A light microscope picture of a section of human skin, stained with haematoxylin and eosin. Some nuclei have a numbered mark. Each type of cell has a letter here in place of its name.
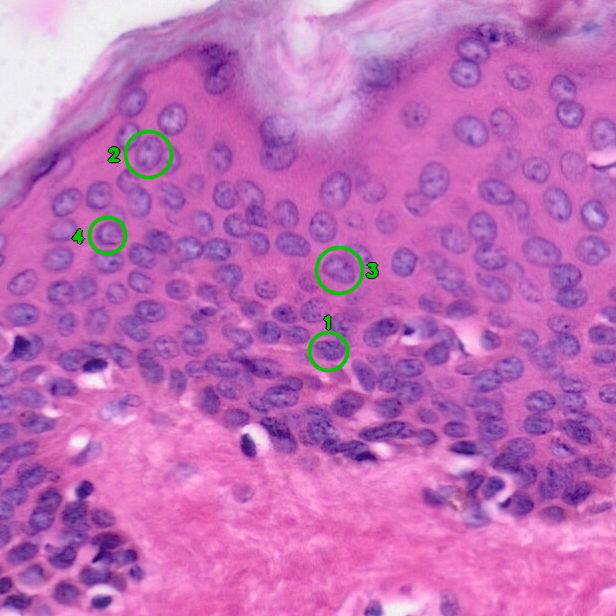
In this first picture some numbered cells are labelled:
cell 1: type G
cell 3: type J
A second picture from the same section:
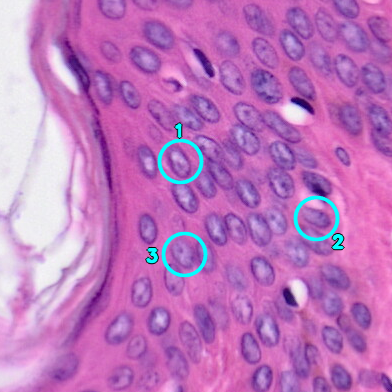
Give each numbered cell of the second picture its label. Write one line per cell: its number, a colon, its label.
1: type J
2: type G
3: type J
